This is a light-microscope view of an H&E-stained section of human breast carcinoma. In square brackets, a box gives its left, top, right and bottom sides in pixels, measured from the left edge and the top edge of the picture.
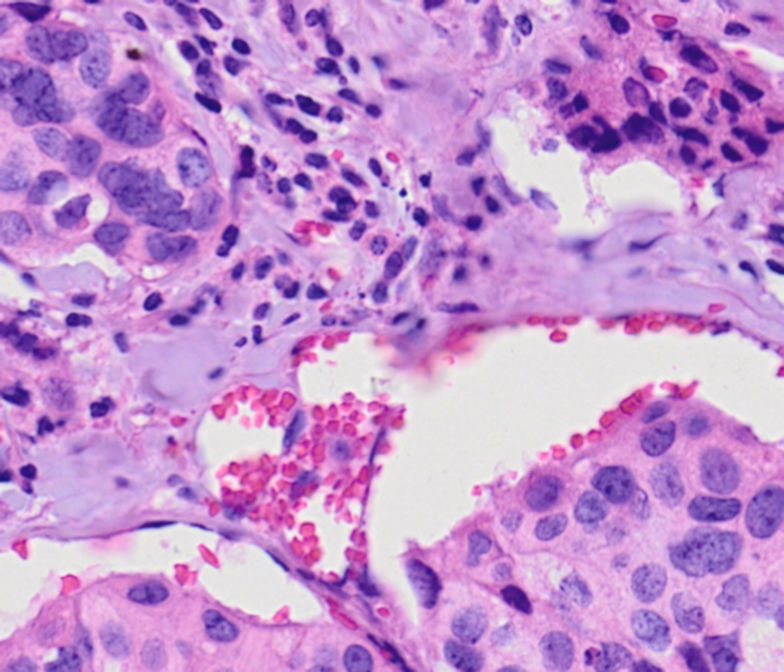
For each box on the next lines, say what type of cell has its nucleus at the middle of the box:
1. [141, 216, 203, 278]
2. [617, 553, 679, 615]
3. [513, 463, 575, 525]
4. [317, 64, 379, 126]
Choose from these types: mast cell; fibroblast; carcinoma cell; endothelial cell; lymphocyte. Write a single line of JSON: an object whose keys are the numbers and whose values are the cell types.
{"1": "carcinoma cell", "2": "carcinoma cell", "3": "carcinoma cell", "4": "lymphocyte"}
